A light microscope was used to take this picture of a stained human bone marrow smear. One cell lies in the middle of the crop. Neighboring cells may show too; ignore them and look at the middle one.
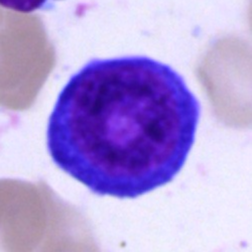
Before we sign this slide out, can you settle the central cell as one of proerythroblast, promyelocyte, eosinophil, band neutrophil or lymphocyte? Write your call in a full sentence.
At the middle of the frame sits a proerythroblast.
